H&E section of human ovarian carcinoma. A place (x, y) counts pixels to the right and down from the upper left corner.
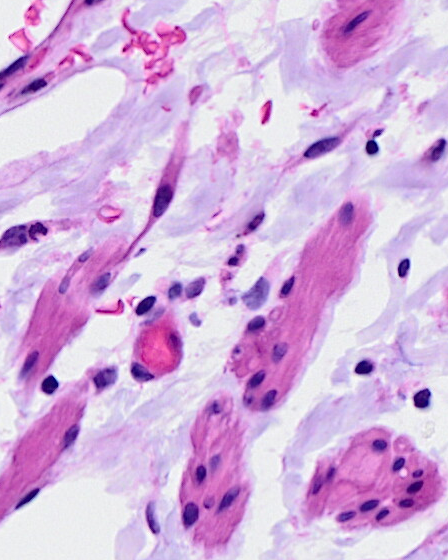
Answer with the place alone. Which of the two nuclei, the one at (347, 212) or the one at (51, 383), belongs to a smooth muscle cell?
(347, 212)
